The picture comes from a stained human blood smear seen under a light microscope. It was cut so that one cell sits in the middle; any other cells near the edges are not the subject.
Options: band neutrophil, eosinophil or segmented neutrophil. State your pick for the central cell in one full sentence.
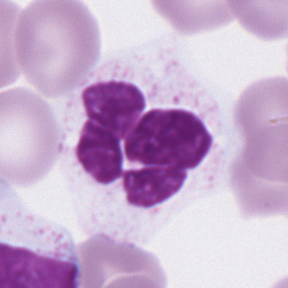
On this slide crop, the central cell is a segmented neutrophil.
